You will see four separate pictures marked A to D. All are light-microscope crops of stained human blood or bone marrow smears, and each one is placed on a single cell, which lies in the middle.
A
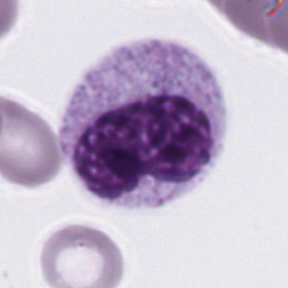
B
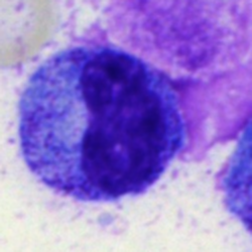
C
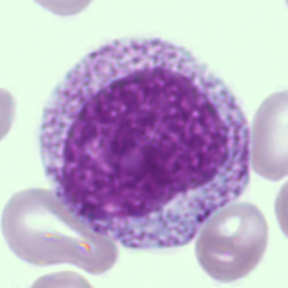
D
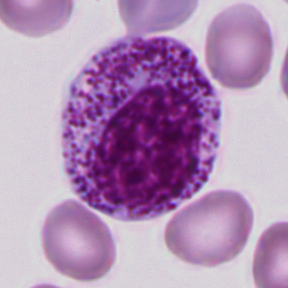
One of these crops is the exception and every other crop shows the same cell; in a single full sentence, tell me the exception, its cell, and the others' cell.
Crop A is the only one that is a metamyelocyte; all the others show myelocytes.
